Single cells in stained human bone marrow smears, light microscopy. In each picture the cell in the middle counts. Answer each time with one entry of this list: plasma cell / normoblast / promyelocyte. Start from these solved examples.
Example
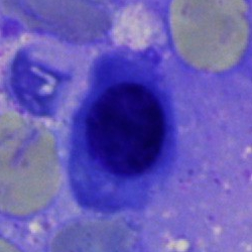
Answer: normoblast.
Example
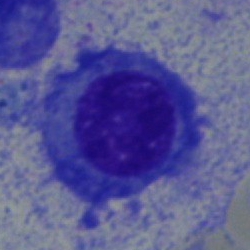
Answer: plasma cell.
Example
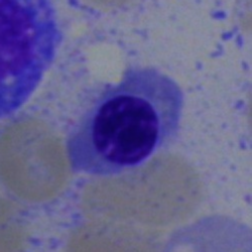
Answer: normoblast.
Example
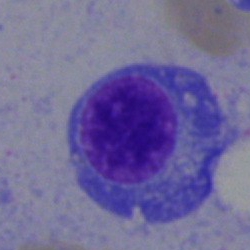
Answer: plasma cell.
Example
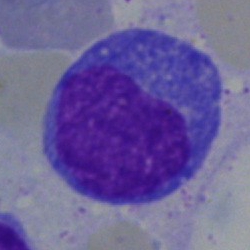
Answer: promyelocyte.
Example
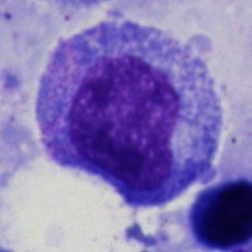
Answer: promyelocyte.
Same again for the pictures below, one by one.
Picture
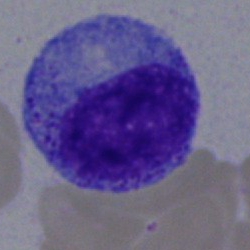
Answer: promyelocyte.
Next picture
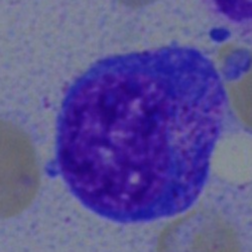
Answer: promyelocyte.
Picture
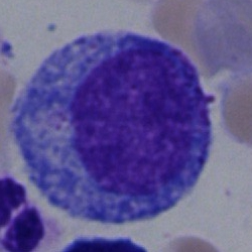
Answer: promyelocyte.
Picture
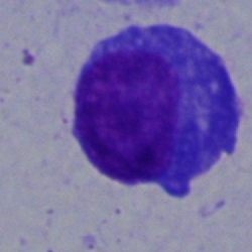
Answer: plasma cell.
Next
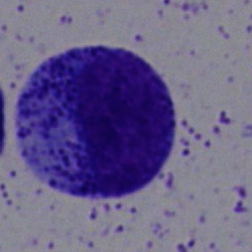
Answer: promyelocyte.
